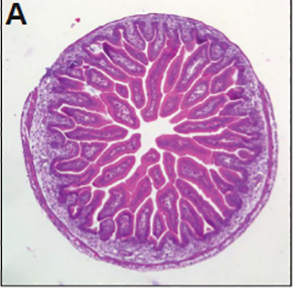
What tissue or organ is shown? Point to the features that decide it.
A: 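A round cross-section of a tube with a central lumen. Many slender finger-like projections radiate from the wall into the lumen. A thin outer muscular coat encircles the section.
Small intestine.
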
